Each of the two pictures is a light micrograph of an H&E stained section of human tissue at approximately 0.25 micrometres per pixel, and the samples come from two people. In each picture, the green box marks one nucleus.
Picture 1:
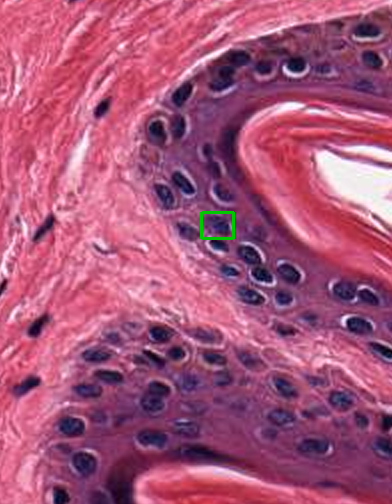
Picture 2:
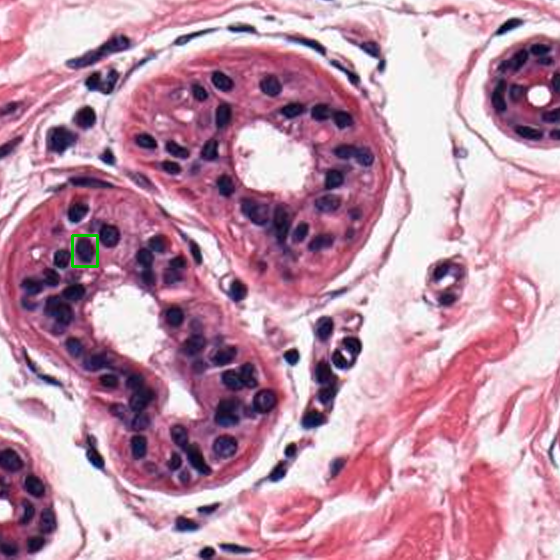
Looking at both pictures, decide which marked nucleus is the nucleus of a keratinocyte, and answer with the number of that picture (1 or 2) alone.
1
